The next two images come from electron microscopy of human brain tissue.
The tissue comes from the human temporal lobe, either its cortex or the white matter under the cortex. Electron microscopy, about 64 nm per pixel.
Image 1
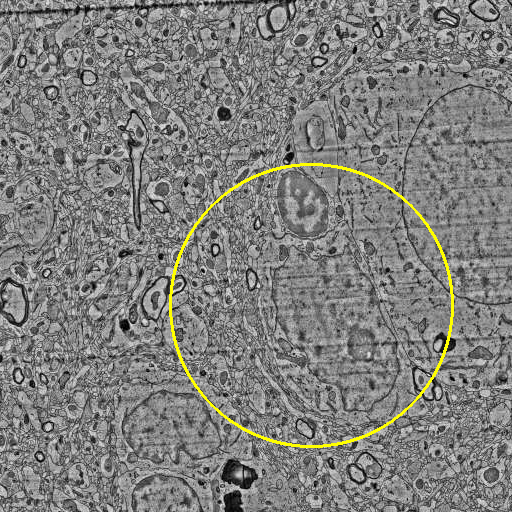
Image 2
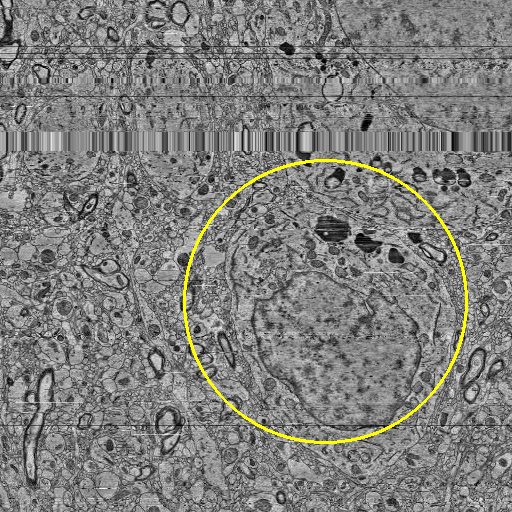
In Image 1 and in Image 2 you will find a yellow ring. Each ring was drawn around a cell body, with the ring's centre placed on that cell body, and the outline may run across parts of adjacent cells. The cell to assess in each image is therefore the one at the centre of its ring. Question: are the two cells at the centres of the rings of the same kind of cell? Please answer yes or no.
yes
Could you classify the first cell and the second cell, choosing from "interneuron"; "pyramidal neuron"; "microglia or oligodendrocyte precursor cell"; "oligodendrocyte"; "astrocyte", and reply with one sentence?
Each of the ringed cells, first and second, is an interneuron.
